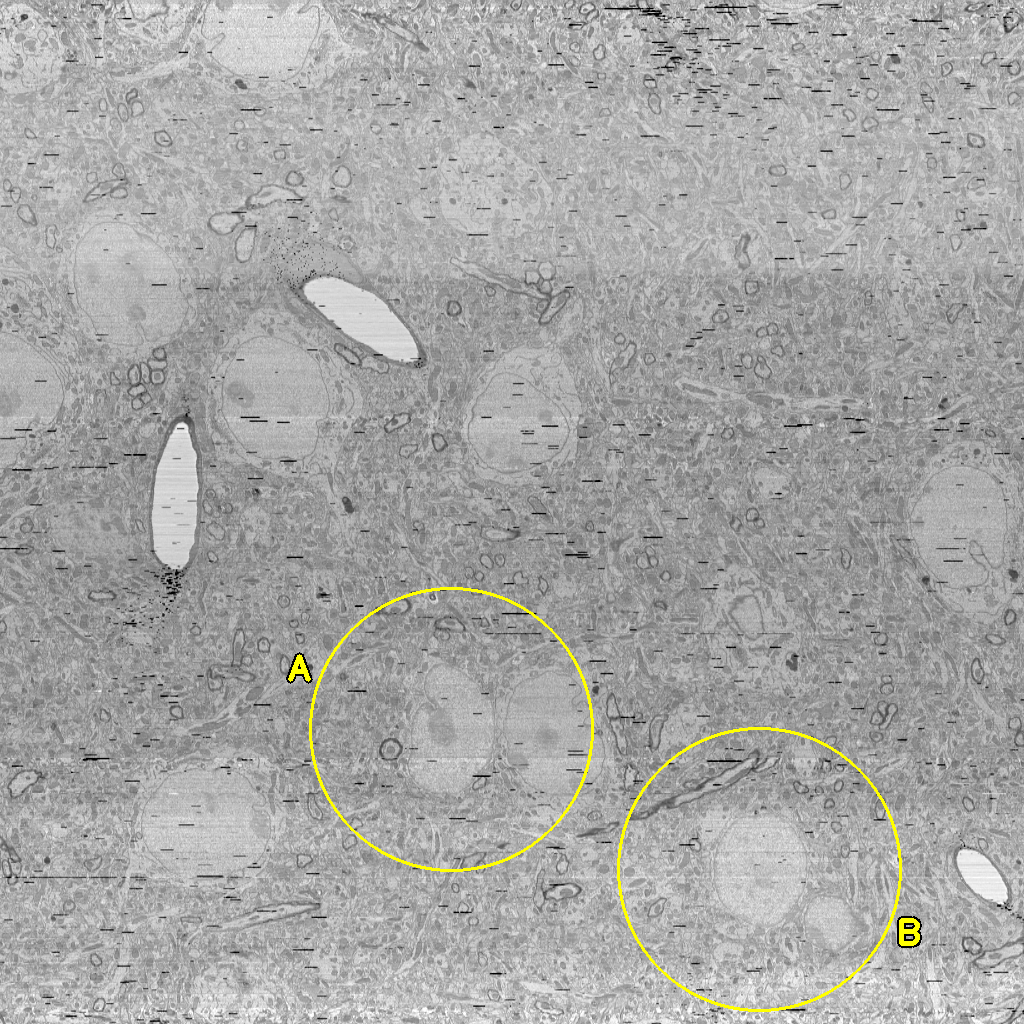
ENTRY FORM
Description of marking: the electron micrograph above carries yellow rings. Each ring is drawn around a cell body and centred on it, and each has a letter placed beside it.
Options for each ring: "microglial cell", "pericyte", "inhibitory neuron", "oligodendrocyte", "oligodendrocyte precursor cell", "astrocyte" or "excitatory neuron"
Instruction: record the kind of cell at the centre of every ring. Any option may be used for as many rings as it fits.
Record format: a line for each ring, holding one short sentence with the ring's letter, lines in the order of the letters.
Ring A surrounds the cell body of an astrocyte.
Ring B surrounds the cell body of an astrocyte.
